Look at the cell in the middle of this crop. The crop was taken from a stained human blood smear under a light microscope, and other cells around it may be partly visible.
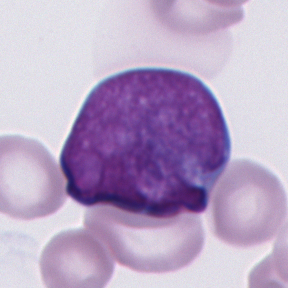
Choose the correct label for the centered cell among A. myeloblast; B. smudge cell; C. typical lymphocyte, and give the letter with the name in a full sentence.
The cell in the centre of the crop is a myeloblast, so option A is the correct one.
